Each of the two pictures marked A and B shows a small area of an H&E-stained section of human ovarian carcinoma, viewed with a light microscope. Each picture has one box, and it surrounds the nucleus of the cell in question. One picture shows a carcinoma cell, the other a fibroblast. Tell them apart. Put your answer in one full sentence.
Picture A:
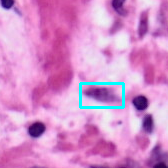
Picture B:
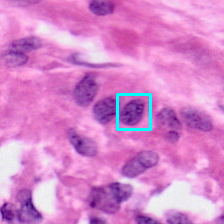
The cell in picture A is a fibroblast, and the one in picture B is a carcinoma cell.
